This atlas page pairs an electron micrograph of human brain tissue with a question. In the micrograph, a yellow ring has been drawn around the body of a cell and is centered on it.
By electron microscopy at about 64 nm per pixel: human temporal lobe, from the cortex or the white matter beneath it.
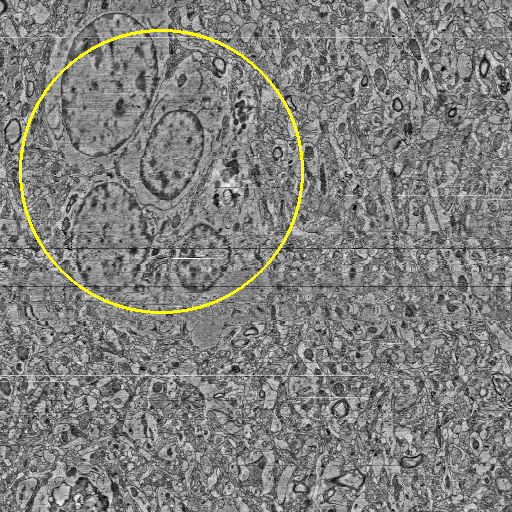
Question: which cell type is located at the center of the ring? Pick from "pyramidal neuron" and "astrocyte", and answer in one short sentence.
Located at the center of the ring is an astrocyte.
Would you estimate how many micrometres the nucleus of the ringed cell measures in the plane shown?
About 6 by 4 micrometers; the nucleus is clearly longer than it is wide in this plane.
